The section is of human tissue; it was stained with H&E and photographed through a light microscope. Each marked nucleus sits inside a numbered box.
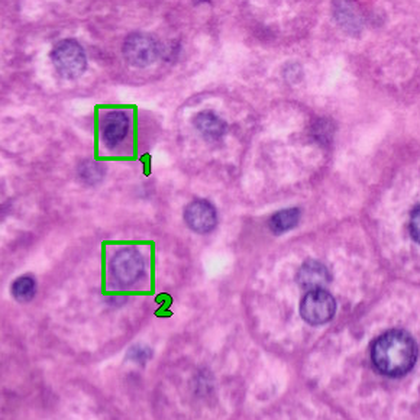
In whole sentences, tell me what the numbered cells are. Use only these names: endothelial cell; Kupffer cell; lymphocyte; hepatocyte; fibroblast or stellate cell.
Cell 1 is a Kupffer cell and cell 2 is a hepatocyte.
